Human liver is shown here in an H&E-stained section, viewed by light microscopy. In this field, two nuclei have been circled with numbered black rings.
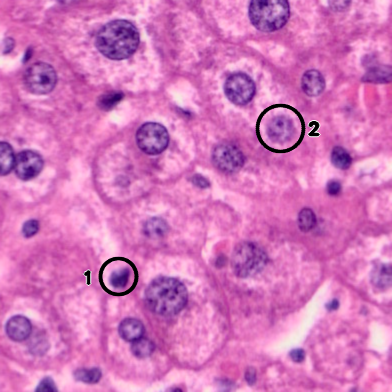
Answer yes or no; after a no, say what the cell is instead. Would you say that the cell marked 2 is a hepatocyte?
Yes.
